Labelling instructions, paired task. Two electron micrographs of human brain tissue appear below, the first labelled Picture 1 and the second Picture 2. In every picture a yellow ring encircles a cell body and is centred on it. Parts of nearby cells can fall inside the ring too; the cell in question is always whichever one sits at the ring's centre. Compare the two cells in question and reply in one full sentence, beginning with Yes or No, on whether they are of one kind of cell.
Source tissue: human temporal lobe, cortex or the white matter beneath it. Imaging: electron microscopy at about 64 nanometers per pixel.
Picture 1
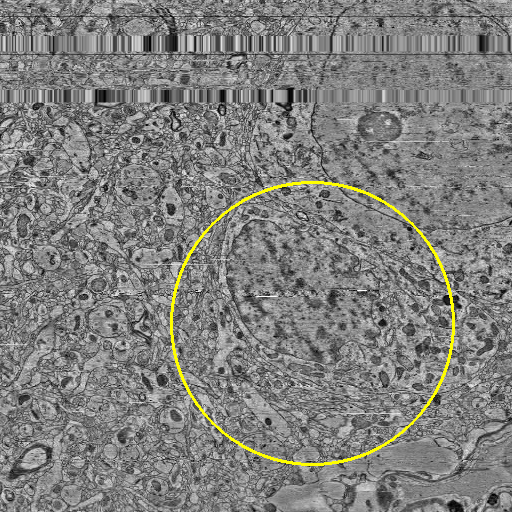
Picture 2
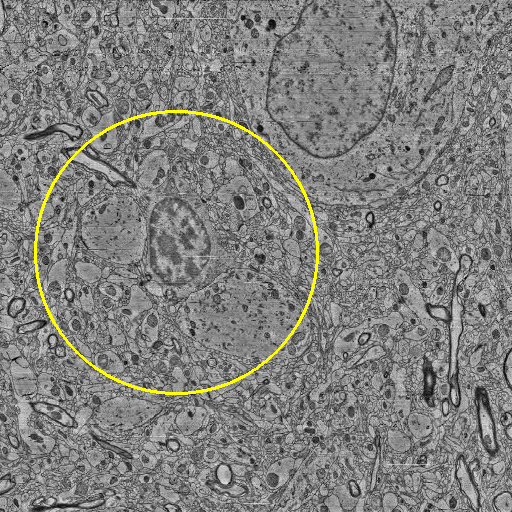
No, the two cells at the ring centres in Picture 1 and Picture 2 are of two kinds.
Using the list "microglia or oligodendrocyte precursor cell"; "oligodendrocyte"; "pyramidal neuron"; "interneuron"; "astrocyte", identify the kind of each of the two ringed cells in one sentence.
The first is an interneuron and the second is an oligodendrocyte.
